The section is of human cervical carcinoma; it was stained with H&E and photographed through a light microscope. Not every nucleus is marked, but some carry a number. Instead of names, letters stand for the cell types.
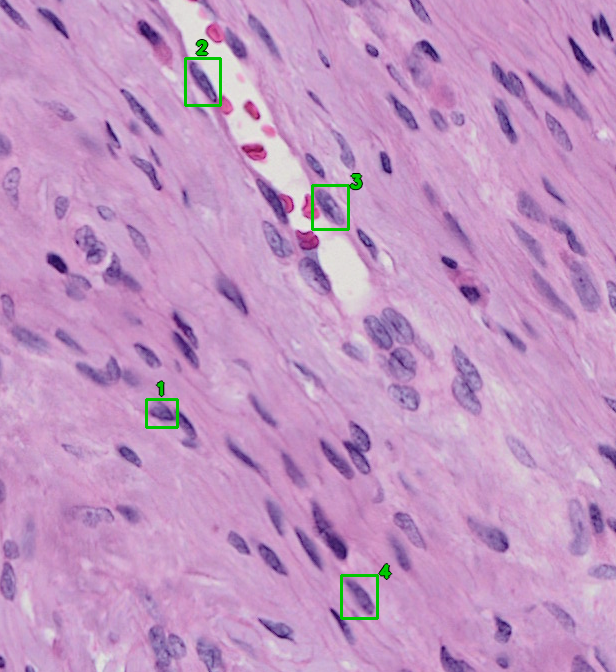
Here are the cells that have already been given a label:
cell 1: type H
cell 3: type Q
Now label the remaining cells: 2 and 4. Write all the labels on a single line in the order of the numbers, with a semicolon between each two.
type Q; type H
